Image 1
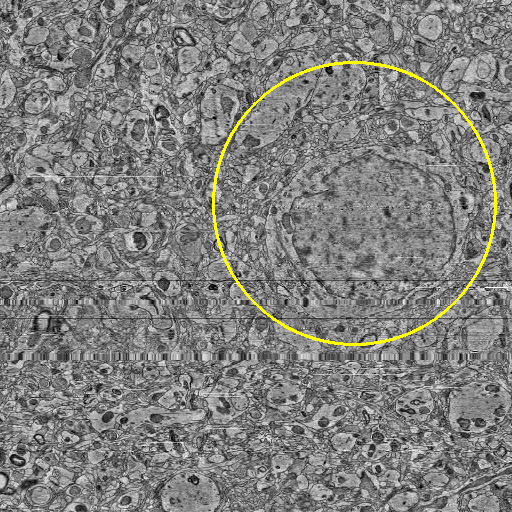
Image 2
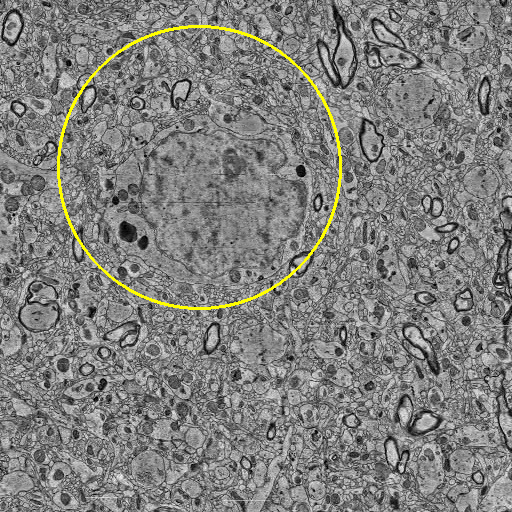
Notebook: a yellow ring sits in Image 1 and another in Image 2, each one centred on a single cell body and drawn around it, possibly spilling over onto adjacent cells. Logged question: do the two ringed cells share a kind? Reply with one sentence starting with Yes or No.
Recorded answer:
Yes, both centre cells inside the rings of Image 1 and Image 2 share one kind.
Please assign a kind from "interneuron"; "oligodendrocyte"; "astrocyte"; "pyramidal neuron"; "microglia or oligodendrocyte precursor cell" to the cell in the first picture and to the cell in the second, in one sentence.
The ring centre holds an interneuron in each of the two pictures.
